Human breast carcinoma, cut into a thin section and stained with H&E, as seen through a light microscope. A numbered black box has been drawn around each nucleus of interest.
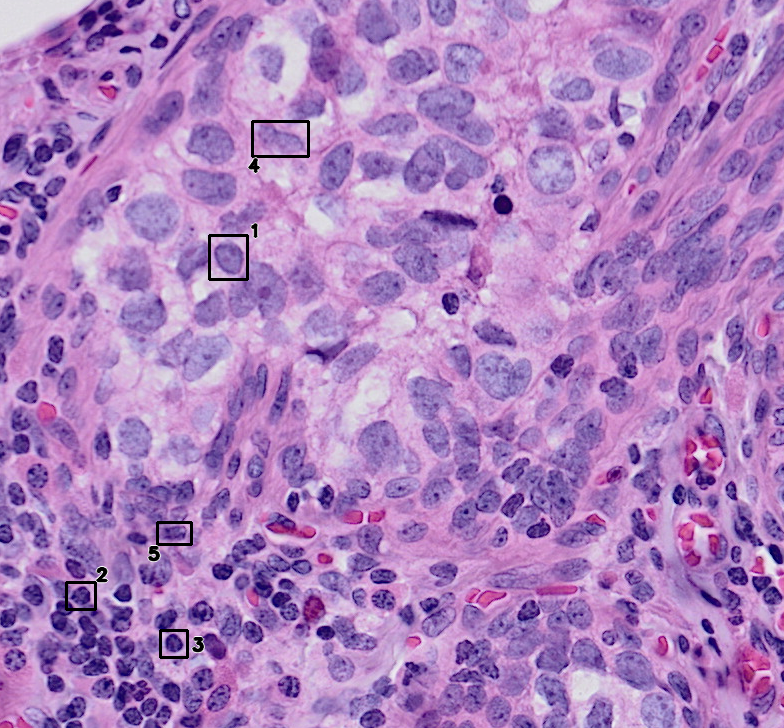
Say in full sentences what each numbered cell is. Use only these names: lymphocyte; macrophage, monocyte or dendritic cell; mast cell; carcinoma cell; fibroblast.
Cell 1 is a carcinoma cell, cell 2 is a lymphocyte, cell 3 is a lymphocyte, cell 4 is a carcinoma cell and cell 5 is a lymphocyte.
